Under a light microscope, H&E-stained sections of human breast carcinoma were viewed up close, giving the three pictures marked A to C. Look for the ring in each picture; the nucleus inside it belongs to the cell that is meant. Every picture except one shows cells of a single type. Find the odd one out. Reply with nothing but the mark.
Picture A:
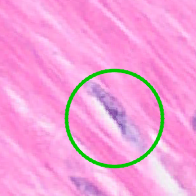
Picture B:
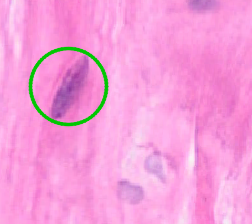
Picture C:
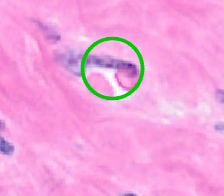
C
